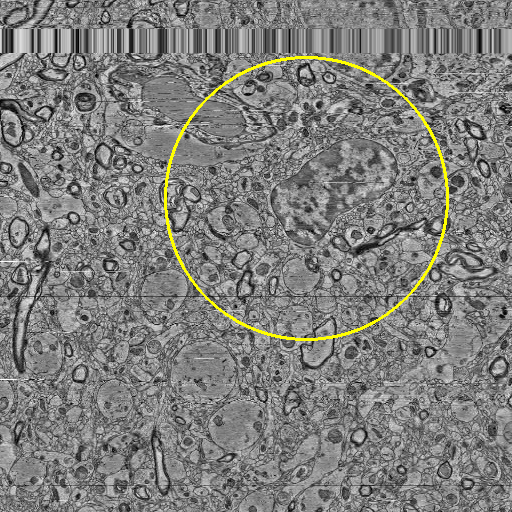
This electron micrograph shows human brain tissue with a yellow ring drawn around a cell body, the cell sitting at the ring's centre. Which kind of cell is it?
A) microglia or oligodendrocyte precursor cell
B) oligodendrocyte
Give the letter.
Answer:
A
